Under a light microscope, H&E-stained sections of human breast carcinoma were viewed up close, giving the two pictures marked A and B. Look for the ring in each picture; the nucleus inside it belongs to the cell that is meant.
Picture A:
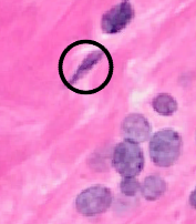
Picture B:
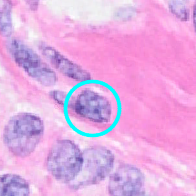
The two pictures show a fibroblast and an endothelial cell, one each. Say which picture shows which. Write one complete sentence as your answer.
Picture B shows an endothelial cell, while picture A shows a fibroblast.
